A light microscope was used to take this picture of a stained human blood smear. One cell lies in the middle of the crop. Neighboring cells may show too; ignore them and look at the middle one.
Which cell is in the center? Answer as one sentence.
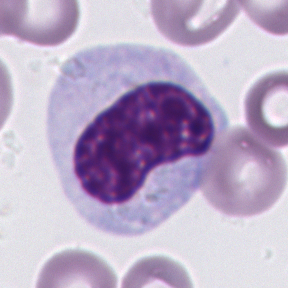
What sits at the centre of this crop is a band neutrophil.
